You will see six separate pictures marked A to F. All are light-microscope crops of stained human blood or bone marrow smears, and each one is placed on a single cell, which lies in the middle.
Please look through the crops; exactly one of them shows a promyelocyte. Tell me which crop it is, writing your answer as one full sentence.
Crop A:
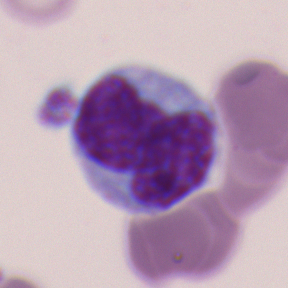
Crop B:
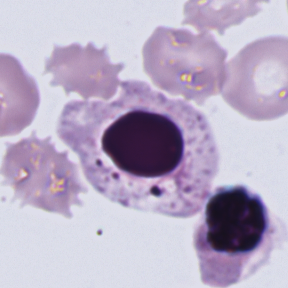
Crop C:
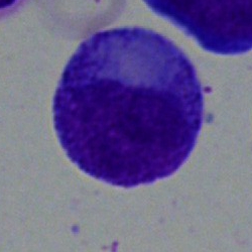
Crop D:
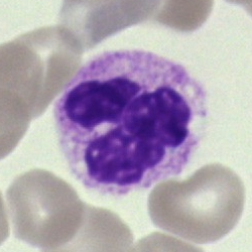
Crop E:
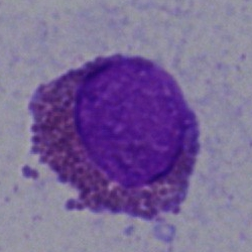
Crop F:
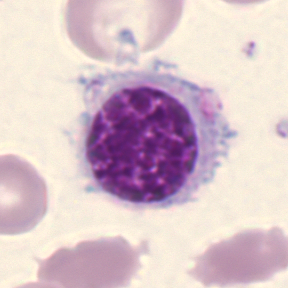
Crop C is the one that shows a promyelocyte.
